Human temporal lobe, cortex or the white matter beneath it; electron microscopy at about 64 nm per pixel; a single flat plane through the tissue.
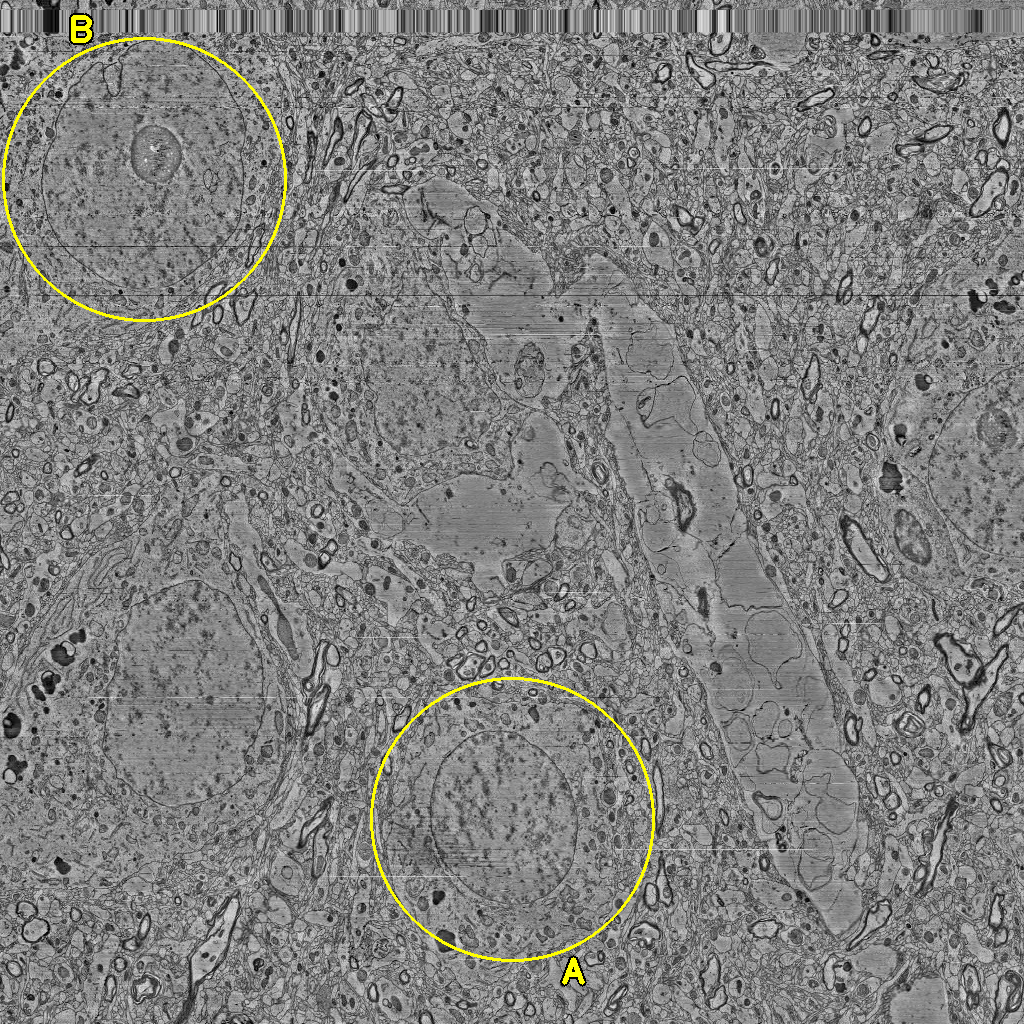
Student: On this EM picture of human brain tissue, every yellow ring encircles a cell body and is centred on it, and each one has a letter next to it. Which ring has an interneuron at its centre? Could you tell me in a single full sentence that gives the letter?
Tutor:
Ring A is the one drawn around the cell you are asking about.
